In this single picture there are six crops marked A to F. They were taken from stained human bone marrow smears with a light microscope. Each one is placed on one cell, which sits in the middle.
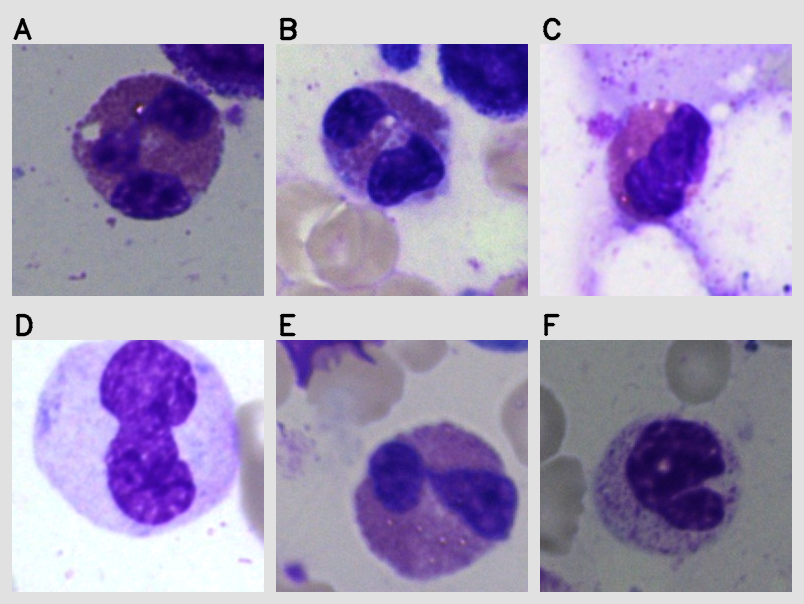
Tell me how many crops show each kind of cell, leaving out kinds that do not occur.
eosinophil: 4
band neutrophil: 2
